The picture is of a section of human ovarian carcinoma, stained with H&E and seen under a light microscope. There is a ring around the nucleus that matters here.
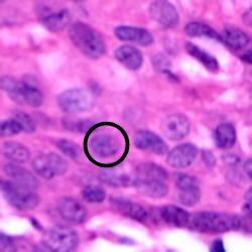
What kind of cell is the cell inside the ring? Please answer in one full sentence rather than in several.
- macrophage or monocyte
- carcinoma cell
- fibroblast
In this tissue section, the cell inside the ring is to be classed as a carcinoma cell.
